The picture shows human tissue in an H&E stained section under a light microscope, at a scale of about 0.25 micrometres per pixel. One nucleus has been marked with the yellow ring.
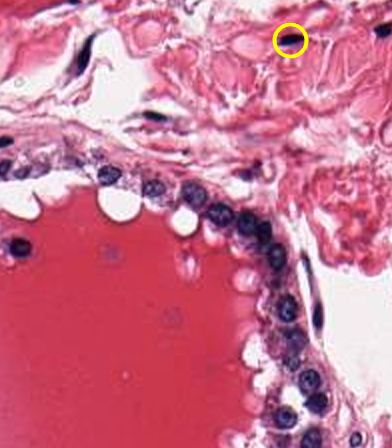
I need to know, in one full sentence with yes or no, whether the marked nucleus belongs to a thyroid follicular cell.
No, the marked nucleus is part of a supporting cell and does not belong to a thyroid follicular cell.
